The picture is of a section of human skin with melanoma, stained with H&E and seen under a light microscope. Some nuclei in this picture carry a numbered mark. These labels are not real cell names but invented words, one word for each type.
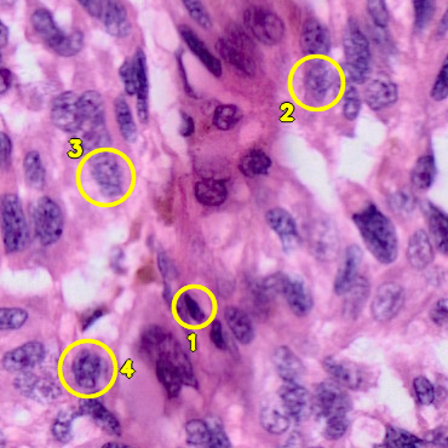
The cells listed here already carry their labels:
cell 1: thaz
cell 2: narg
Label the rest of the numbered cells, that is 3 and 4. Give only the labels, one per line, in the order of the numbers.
narg
narg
